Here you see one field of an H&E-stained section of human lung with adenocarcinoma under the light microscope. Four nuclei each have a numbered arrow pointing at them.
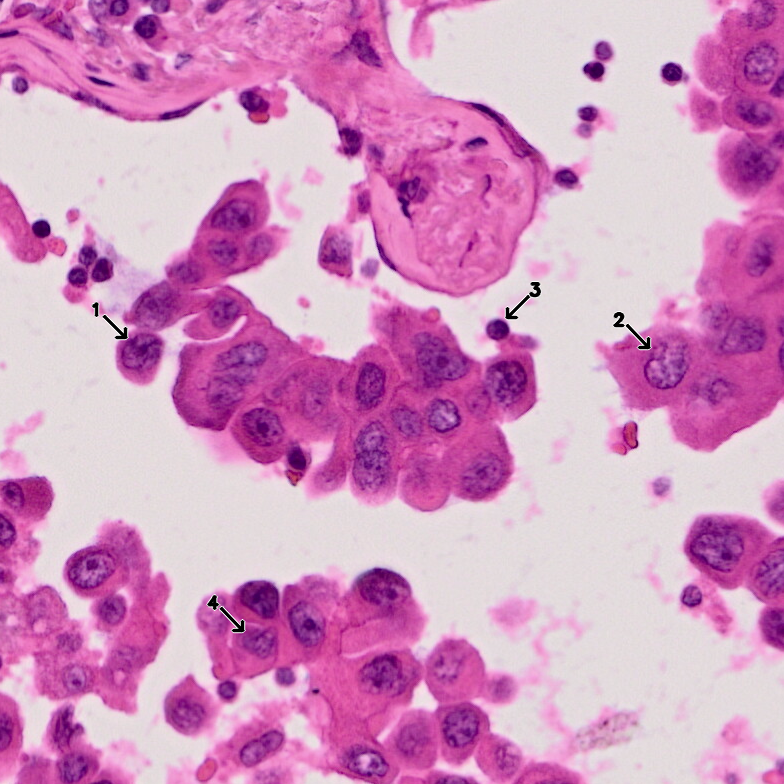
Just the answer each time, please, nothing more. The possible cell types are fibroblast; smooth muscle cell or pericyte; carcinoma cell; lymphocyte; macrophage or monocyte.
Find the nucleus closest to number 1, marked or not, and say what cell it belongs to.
carcinoma cell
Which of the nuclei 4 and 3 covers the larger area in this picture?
4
